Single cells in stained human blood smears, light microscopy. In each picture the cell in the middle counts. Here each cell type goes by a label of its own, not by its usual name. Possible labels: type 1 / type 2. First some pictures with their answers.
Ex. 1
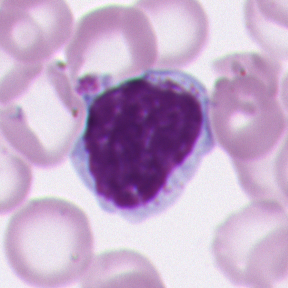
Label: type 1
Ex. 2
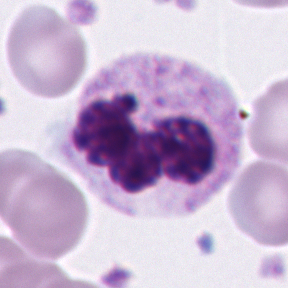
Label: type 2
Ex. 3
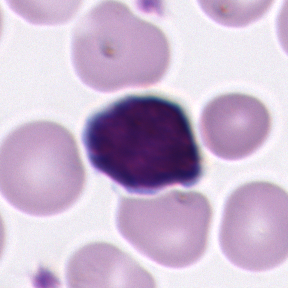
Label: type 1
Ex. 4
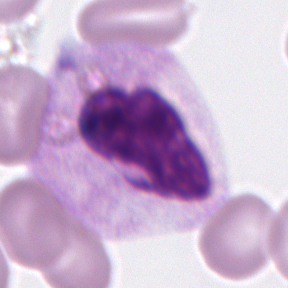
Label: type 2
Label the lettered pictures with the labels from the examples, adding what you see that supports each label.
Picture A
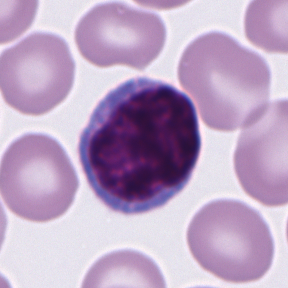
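Answer: type 1. The cytoplasm forms a narrow rim that is widest on the left side.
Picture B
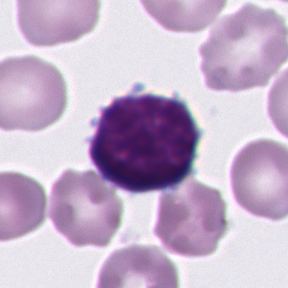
Answer: type 1. Only a very thin rim of cytoplasm shows around the nucleus.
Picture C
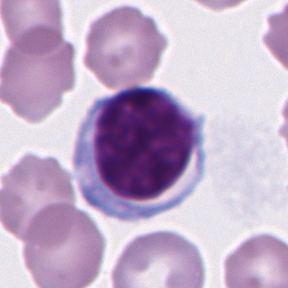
Answer: type 1. The cytoplasm is a scant, pale blue rim around the nucleus.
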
